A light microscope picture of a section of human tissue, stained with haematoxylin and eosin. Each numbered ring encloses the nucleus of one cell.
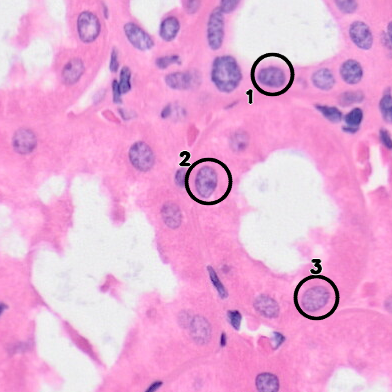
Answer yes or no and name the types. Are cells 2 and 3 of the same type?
Yes, cells 2 and 3 both fall under proximal tubule cells.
